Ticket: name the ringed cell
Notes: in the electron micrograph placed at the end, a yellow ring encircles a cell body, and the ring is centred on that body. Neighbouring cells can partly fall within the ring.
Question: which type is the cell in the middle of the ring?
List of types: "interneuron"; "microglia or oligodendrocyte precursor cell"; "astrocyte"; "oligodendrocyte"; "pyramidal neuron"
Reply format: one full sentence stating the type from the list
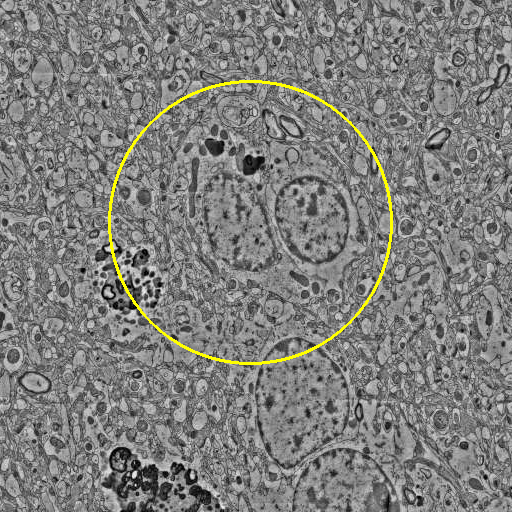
The cell sitting at the centre of the yellow ring is an astrocyte.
